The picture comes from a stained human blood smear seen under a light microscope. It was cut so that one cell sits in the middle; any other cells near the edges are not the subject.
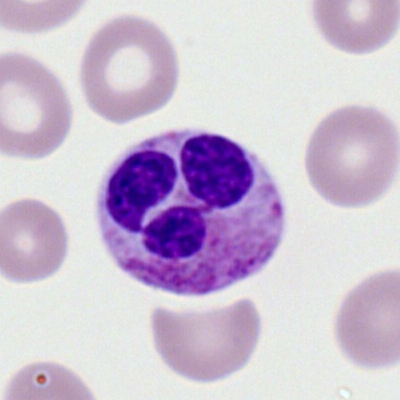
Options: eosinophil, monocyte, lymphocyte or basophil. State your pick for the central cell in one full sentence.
Centrally within this crop lies an eosinophil.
